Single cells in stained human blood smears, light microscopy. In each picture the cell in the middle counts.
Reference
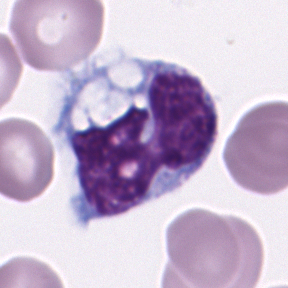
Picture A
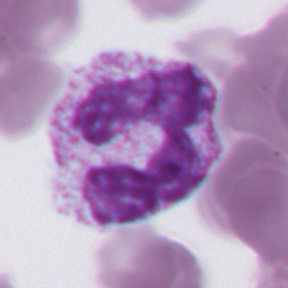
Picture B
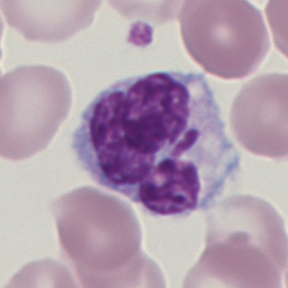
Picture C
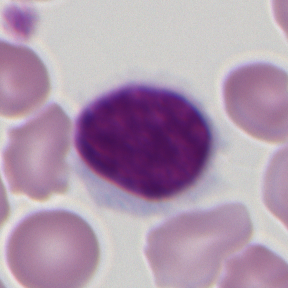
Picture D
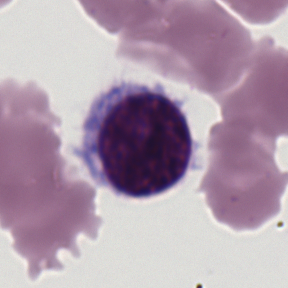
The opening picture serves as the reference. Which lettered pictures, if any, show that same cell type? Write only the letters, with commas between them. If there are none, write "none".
B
